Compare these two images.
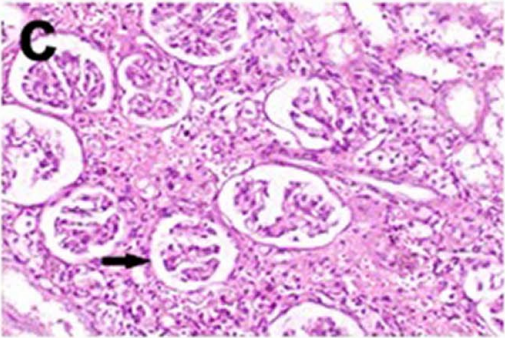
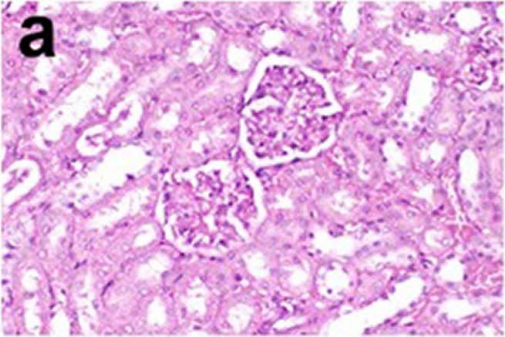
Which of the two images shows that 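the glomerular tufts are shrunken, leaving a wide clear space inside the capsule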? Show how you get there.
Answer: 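The first image. First image: several glomeruli have small tufts with a broad clear space between tuft and capsule. Second image: the glomerular tufts nearly fill their capsules, with only a thin clear rim.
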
